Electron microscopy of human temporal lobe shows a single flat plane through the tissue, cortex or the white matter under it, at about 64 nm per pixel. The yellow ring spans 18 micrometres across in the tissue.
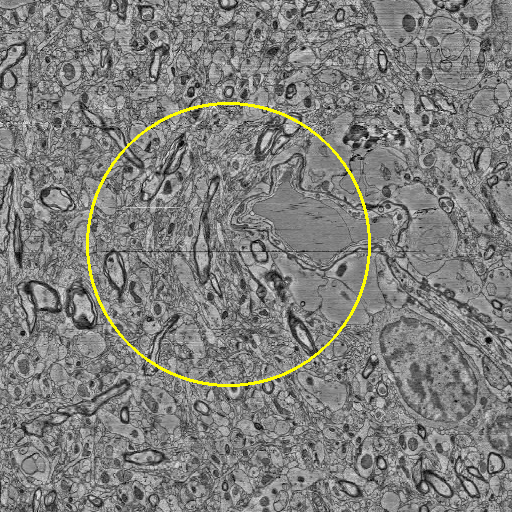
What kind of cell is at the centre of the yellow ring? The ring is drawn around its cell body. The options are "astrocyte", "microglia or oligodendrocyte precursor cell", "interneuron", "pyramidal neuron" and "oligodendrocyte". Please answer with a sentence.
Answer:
The yellow ring marks the cell body of a microglial cell or oligodendrocyte precursor cell.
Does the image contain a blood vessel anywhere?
Yes, a blood vessel is present in this picture.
